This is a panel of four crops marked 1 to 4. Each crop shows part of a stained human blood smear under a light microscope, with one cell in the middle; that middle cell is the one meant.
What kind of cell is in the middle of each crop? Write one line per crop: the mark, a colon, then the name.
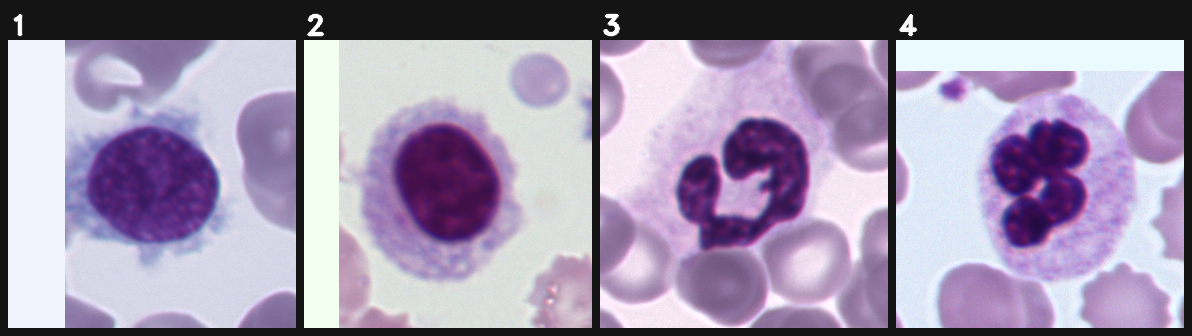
1: hairy cell
2: hairy cell
3: neutrophil
4: neutrophil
